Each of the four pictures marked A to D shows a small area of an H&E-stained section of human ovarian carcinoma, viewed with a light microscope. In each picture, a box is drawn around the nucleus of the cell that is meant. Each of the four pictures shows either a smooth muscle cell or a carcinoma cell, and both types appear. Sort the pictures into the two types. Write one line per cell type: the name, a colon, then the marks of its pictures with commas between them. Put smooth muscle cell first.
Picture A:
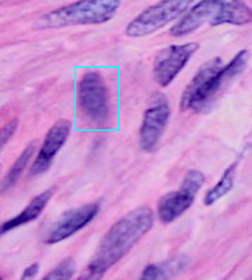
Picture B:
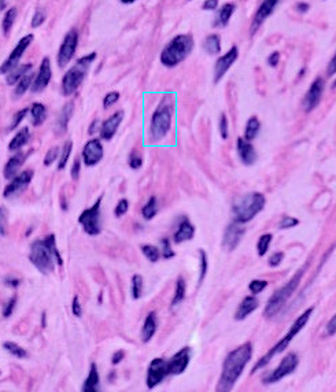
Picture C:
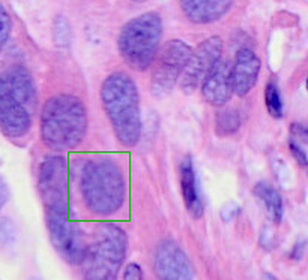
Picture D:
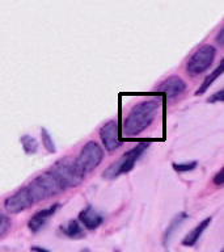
smooth muscle cell: A, B
carcinoma cell: C, D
